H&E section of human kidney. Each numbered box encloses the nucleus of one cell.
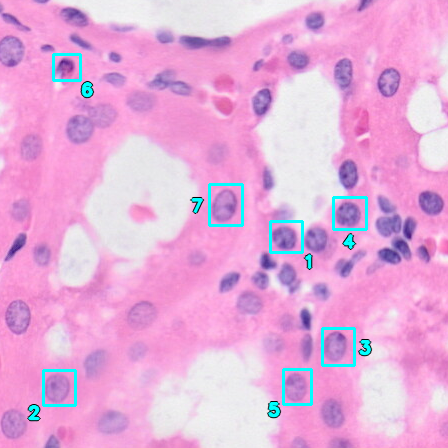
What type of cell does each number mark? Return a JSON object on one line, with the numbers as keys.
{"1": "loop of Henle or distal tubule cell", "2": "proximal tubule cell", "3": "proximal tubule cell", "4": "loop of Henle or distal tubule cell", "5": "proximal tubule cell", "6": "endothelial cell", "7": "proximal tubule cell"}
